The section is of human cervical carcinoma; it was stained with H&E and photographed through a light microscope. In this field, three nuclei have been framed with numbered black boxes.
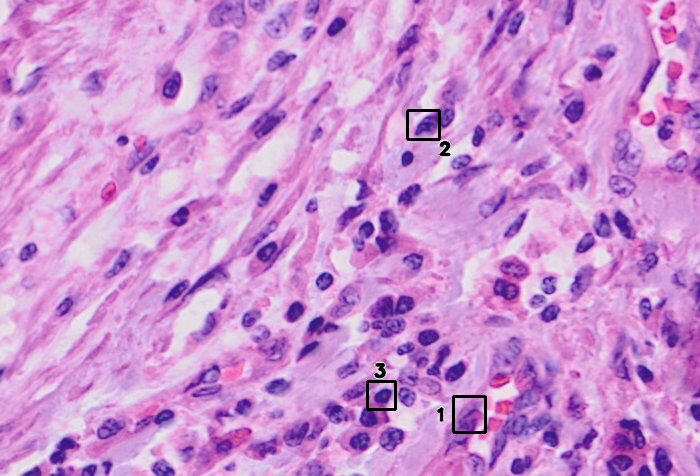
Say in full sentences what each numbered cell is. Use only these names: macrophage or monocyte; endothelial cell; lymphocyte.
Cell 1 is an endothelial cell. Cells 2 and 3 are lymphocytes.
